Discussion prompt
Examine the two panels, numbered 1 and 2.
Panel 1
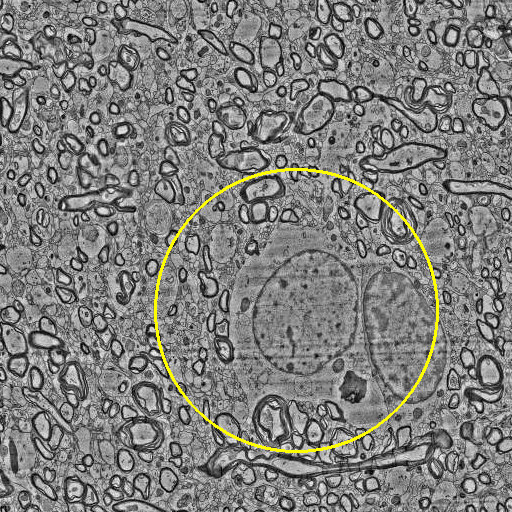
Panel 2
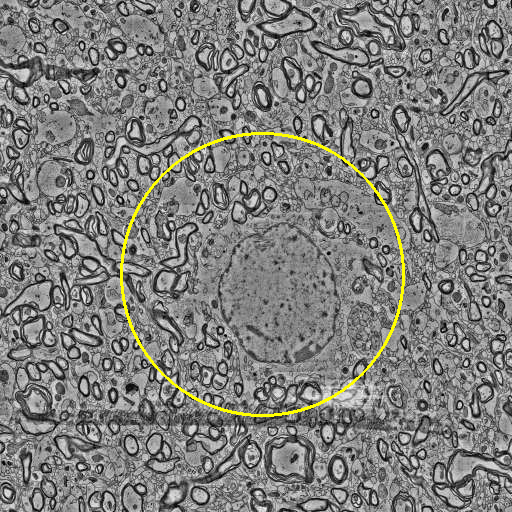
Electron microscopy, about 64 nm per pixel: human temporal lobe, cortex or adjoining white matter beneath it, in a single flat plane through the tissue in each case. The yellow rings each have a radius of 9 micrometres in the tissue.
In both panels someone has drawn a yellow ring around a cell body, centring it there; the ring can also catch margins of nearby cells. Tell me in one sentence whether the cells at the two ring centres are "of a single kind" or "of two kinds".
Taken together, the two cells centred in the rings of Panels 1 and 2 are of a single kind.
